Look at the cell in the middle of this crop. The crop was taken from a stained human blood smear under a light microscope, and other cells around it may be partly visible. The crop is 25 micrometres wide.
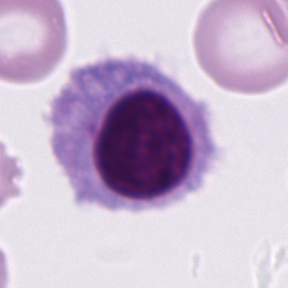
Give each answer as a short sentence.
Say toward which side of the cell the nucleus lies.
The nucleus is pushed toward the lower right of the cell.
